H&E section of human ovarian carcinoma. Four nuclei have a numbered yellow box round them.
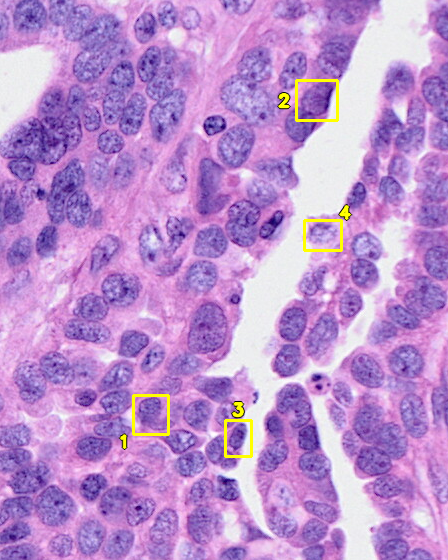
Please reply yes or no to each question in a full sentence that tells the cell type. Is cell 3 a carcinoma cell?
Yes, the numbered cell 3 is identified as a carcinoma cell.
